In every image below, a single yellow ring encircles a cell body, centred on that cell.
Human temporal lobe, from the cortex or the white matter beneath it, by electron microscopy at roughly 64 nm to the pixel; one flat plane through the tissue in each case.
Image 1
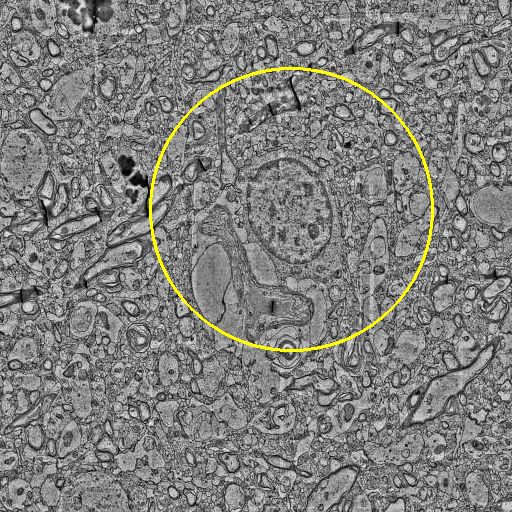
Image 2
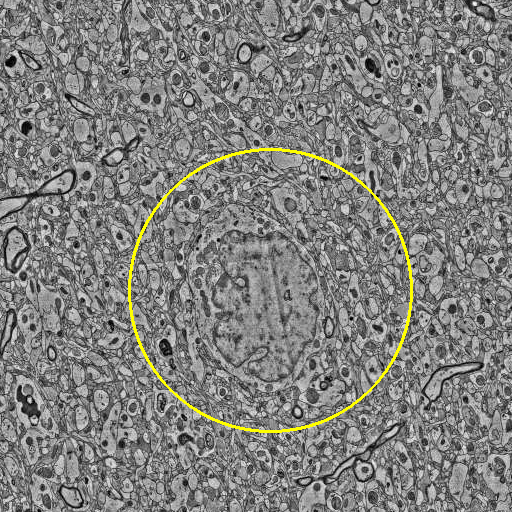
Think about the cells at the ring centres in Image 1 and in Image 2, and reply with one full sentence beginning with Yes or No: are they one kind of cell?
No, the cells centred in the rings of Image 1 and Image 2 are two kinds of cell.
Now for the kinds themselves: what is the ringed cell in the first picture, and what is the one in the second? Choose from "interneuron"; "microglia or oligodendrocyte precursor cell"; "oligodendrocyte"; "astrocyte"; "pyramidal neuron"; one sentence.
Here the first cell is an oligodendrocyte and the second cell is an interneuron.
